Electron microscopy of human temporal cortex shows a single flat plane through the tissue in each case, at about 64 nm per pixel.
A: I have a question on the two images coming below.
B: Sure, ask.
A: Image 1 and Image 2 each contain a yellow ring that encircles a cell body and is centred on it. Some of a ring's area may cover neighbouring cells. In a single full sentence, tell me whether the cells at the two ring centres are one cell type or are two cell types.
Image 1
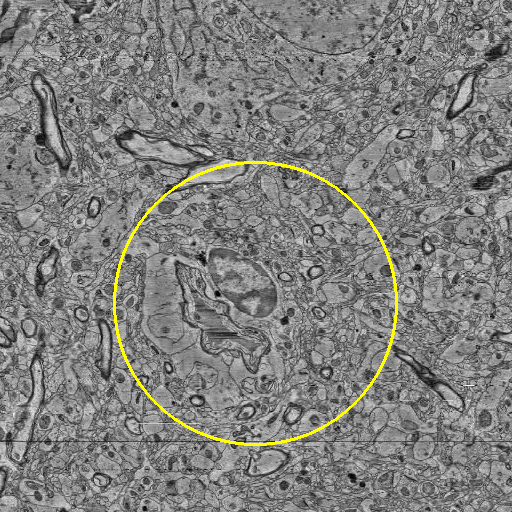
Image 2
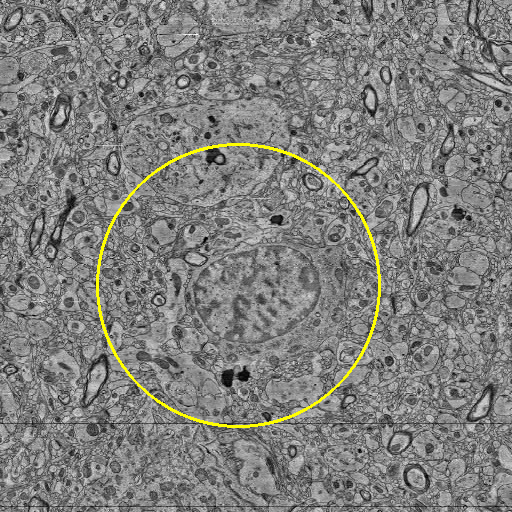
As for the ring-centre cells, the one in Image 1 and the one in Image 2 are two cell types.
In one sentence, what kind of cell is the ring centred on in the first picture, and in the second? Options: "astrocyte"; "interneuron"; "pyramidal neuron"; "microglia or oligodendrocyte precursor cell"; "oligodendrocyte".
The cell at the centre of the second ring is an oligodendrocyte; the first ring's cell is a microglial cell or oligodendrocyte precursor cell.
